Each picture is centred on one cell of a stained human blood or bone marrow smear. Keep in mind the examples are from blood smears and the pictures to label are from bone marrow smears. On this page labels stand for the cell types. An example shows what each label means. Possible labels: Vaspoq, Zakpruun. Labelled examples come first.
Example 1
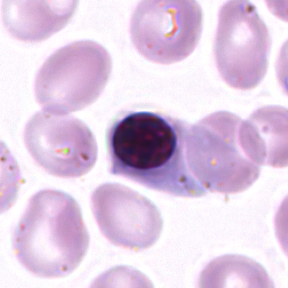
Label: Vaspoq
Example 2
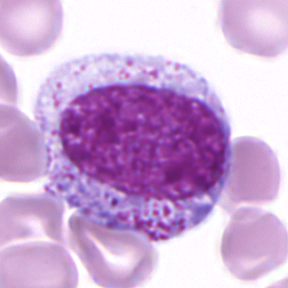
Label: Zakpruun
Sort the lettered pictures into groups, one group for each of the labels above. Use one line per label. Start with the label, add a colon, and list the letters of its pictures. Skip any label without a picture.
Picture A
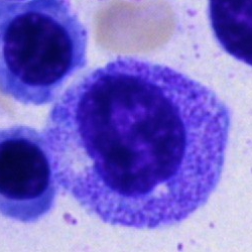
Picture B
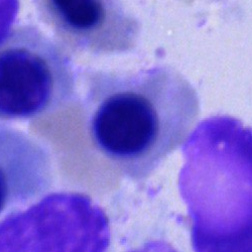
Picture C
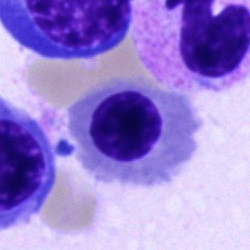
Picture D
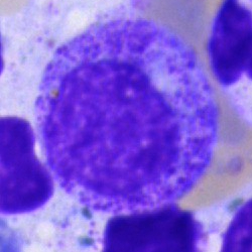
Vaspoq: B, C
Zakpruun: A, D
